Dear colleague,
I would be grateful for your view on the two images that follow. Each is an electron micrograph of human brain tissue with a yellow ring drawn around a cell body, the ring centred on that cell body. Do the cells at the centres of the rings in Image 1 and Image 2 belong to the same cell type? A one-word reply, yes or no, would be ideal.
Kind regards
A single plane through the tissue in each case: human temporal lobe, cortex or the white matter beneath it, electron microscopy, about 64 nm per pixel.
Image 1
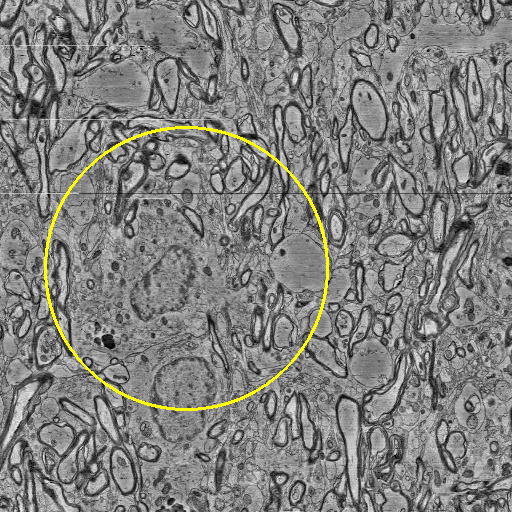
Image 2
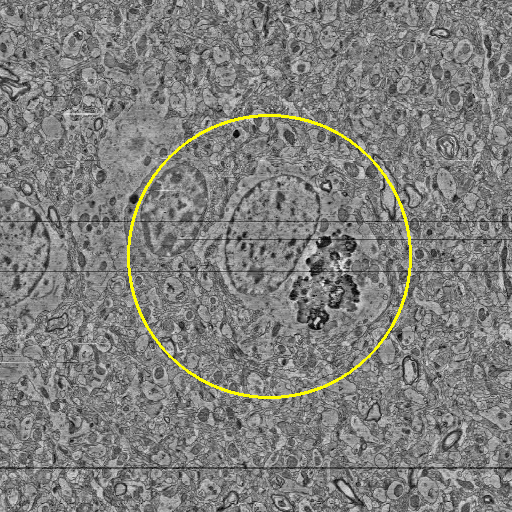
yes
